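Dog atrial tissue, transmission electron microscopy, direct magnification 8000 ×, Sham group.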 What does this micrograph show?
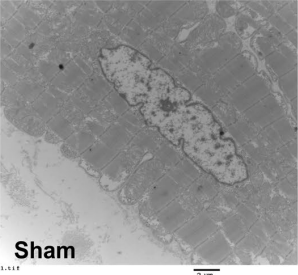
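This is a heart muscle cell from the atrium seen in the electron microscope, with one large elongated nucleus lying along the long axis of the cell. The nucleus has a clear envelope and its chromatin forms darker clumps scattered through a paler nucleoplasm. Around it run parallel bundles of myofibrils, crossed at regular intervals by thin dark lines that mark off the repeating units of the striation.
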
